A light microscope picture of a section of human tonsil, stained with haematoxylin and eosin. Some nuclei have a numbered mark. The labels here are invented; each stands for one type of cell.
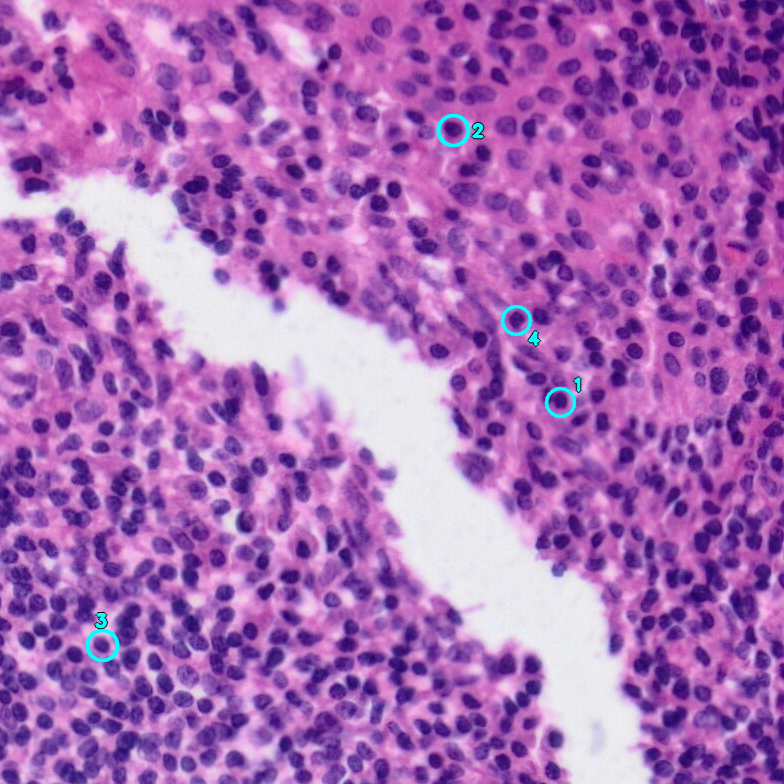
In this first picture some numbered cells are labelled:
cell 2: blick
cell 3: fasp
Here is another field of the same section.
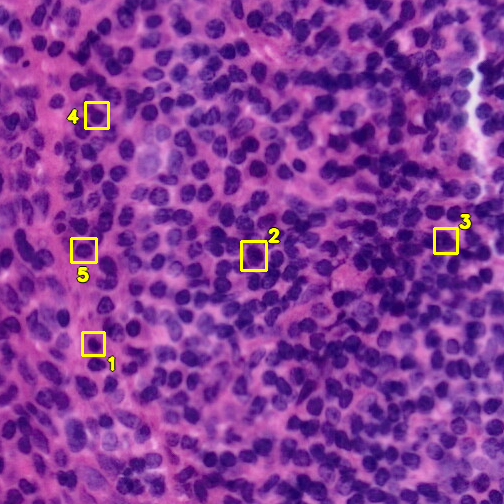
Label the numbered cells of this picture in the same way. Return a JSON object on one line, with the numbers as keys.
{"1": "blick", "2": "fasp", "3": "fasp", "4": "blick", "5": "blick"}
